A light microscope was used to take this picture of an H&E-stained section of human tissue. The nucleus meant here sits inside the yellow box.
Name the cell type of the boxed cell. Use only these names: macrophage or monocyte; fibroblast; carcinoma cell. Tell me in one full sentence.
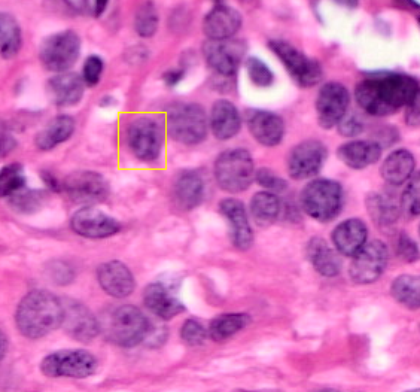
The cell type represented by the boxed cell is that of a carcinoma cell.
